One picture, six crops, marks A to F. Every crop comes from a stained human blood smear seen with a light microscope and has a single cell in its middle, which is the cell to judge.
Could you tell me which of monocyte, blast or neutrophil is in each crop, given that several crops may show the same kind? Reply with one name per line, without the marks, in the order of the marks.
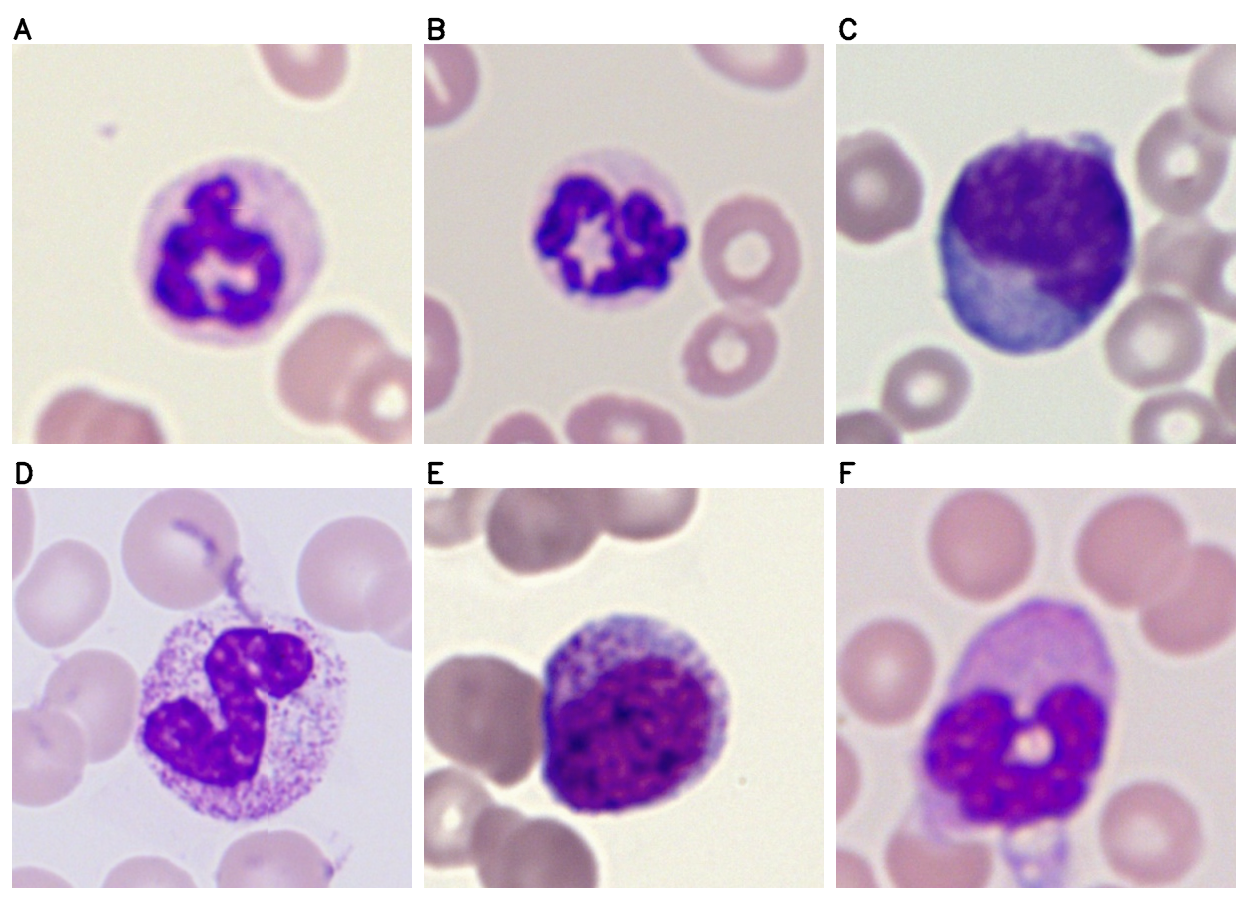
neutrophil
neutrophil
blast
neutrophil
blast
monocyte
